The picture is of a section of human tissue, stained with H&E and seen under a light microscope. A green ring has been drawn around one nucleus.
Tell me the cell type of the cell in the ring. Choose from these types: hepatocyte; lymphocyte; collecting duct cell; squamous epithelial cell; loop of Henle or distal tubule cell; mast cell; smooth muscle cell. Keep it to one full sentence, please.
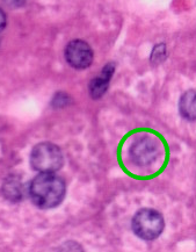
Typologically, the cell in the ring is a hepatocyte in this section.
